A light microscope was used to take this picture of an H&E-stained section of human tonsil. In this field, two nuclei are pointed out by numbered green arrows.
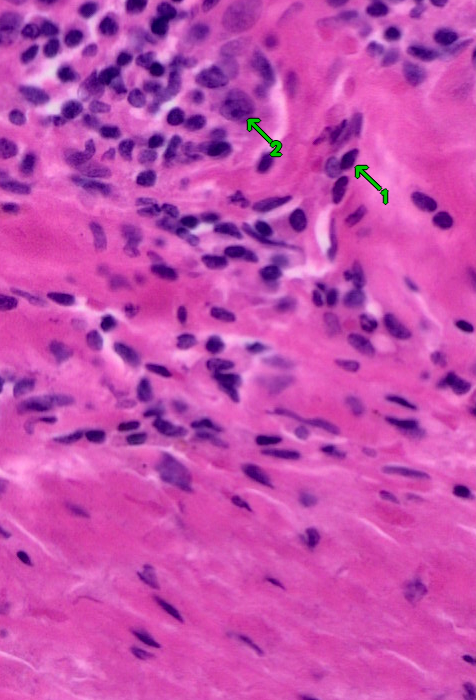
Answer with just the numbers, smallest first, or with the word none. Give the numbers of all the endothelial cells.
2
